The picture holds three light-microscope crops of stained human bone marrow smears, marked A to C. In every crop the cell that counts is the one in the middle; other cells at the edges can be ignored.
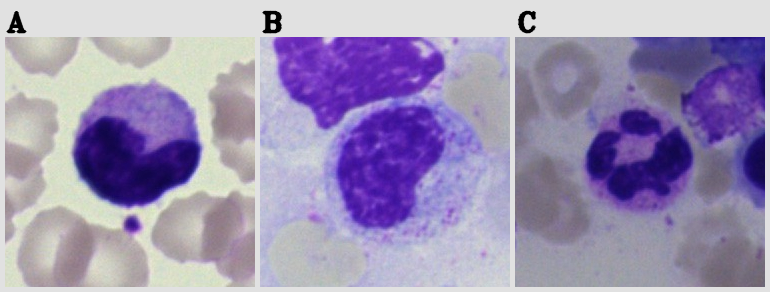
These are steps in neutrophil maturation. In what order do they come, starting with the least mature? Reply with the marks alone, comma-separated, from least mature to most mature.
B, A, C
